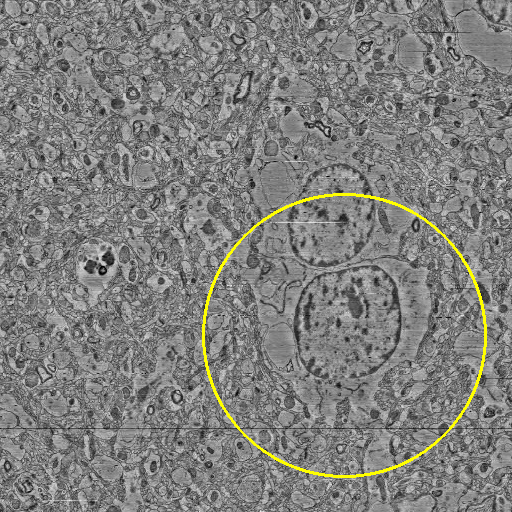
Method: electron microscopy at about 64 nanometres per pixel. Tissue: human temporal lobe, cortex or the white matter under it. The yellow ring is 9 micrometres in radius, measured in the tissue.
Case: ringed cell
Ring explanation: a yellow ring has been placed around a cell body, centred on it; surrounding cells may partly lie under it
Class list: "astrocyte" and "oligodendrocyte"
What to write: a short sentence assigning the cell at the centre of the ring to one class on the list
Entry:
The cell at the ring's centre is an astrocyte.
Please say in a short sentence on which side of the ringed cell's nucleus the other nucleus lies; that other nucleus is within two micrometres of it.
The other nucleus is found above it.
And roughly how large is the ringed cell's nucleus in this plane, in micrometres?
In this plane, about 8 micrometres in length and 7 in width.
